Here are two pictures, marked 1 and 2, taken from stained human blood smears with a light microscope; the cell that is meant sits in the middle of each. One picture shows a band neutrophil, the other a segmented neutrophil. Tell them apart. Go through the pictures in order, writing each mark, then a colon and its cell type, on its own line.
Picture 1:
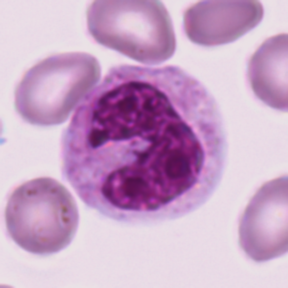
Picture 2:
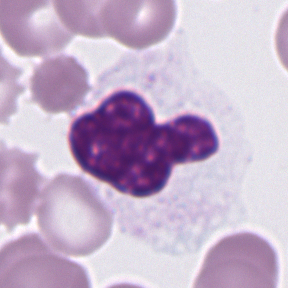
1: band neutrophil
2: segmented neutrophil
